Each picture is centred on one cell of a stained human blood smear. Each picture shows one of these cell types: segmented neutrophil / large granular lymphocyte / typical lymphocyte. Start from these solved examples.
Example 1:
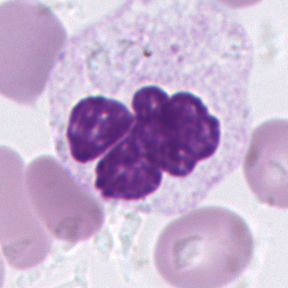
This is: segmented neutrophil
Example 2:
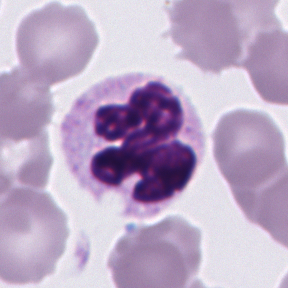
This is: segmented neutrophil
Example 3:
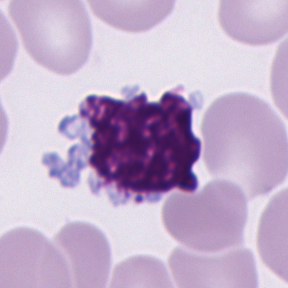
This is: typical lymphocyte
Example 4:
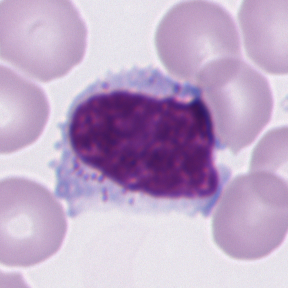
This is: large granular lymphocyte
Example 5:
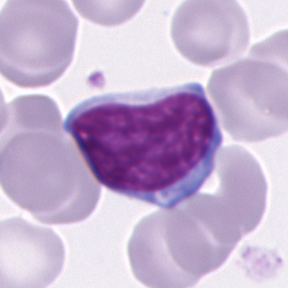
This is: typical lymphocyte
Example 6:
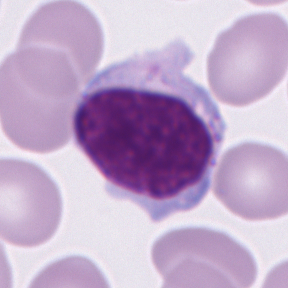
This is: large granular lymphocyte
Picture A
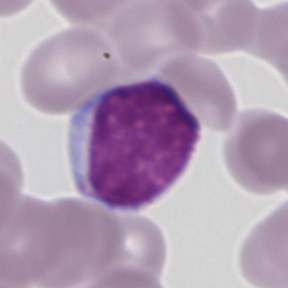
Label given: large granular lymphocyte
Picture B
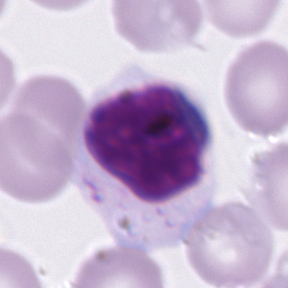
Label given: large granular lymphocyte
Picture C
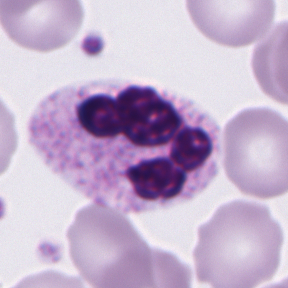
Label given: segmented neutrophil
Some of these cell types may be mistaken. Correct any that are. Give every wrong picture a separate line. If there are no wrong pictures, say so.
Nothing to fix; every label fits.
